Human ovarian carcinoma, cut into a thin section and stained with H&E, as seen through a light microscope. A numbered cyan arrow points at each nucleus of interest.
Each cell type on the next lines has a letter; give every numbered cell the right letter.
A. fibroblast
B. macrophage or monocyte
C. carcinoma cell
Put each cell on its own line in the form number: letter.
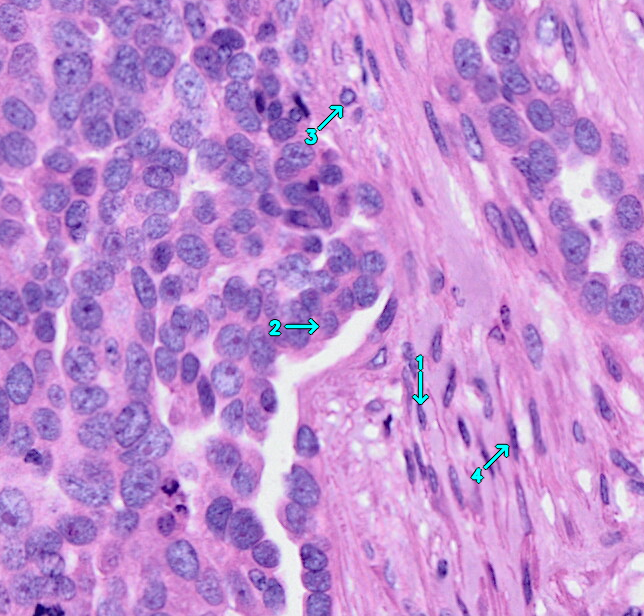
1: A
2: C
3: A
4: A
